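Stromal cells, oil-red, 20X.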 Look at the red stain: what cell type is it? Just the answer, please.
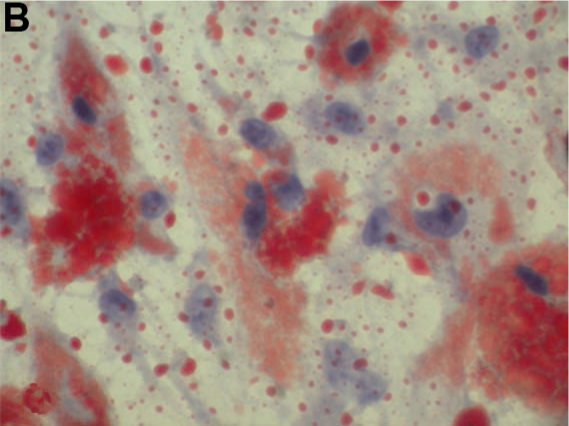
Lipid laden cells.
